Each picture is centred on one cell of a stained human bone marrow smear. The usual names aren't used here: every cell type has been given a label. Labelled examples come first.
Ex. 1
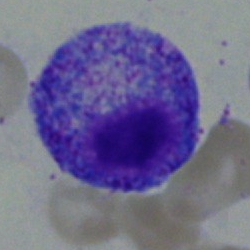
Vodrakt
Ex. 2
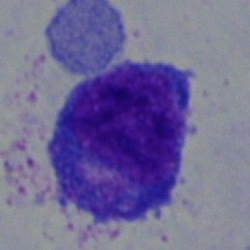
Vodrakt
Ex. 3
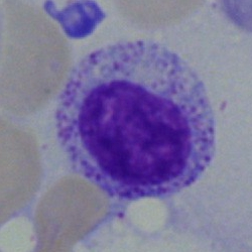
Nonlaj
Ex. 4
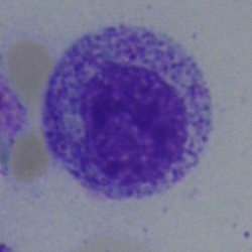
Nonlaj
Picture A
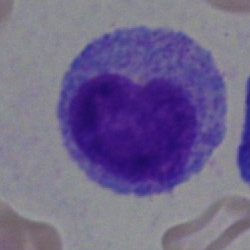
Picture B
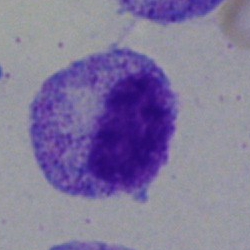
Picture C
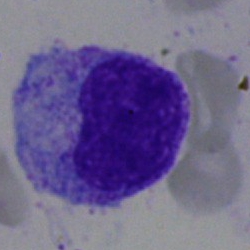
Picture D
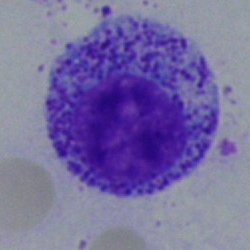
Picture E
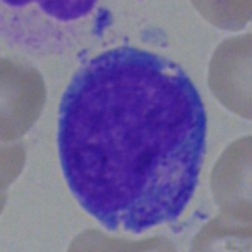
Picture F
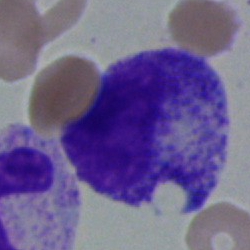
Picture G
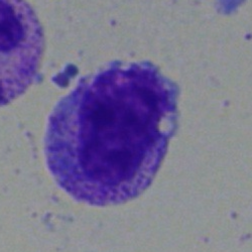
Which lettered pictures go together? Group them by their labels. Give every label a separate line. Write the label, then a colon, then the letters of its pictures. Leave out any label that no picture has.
Vodrakt: E
Nonlaj: A, B, C, D, F, G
